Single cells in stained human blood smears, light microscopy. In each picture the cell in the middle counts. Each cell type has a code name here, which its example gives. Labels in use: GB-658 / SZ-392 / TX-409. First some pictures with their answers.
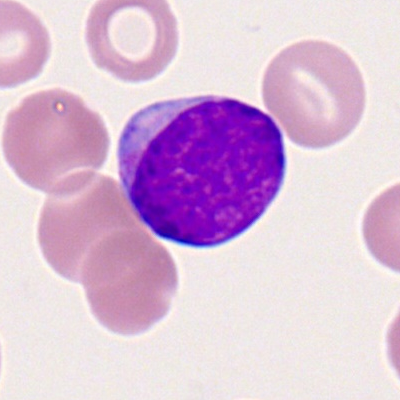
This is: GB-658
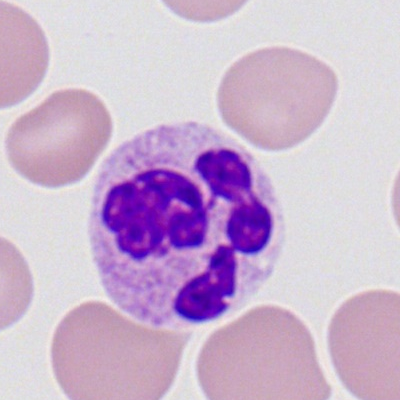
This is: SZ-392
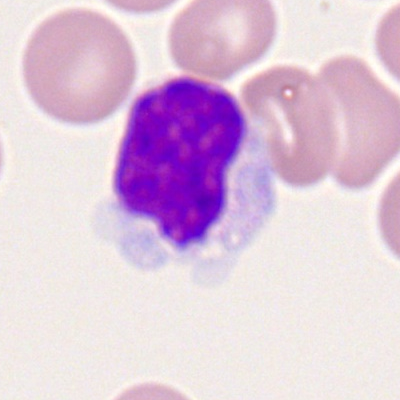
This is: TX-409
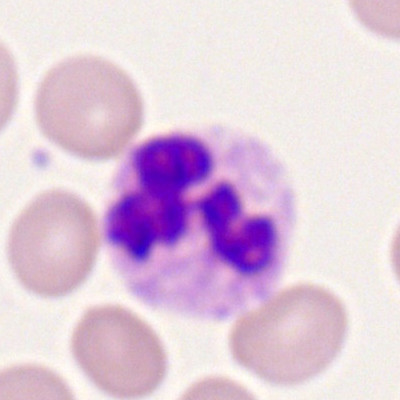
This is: SZ-392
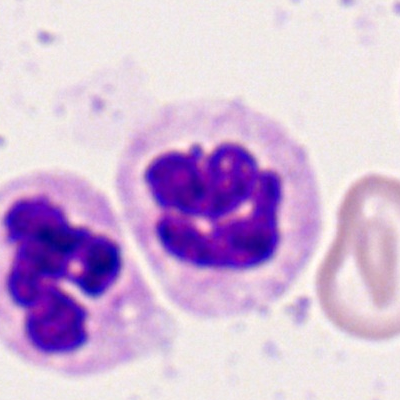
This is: SZ-392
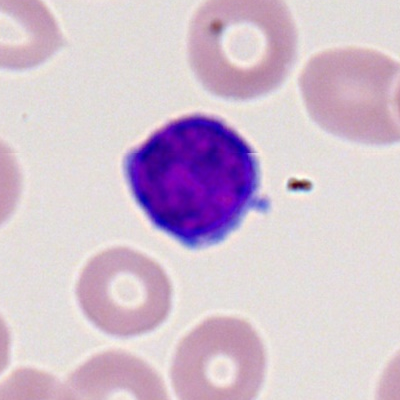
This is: TX-409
